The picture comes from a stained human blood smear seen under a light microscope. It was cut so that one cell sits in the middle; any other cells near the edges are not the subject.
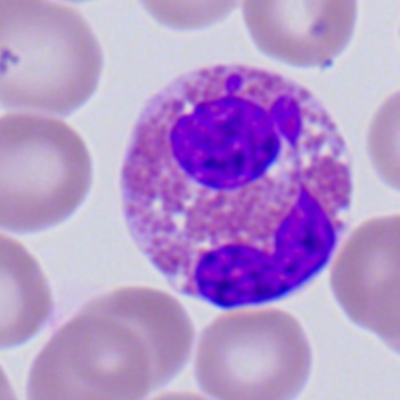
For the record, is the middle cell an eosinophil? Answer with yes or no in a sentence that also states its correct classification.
Yes, the cell in the middle is an eosinophil.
